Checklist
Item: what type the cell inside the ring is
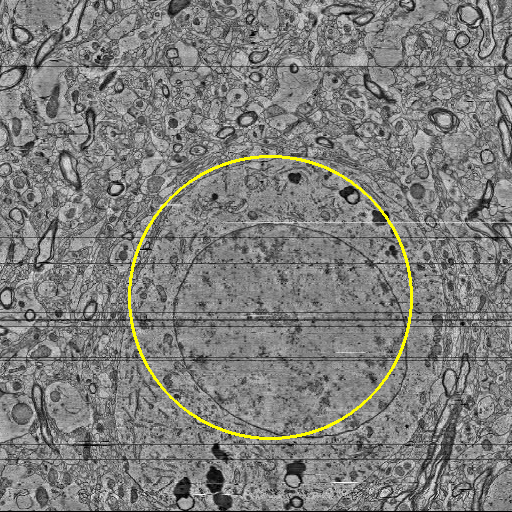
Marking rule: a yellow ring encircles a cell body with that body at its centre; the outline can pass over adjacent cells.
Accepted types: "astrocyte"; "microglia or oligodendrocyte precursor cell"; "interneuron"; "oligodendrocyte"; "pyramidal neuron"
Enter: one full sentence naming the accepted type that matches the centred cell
The entry is that a pyramidal neuron lies at the centre of the yellow ring.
